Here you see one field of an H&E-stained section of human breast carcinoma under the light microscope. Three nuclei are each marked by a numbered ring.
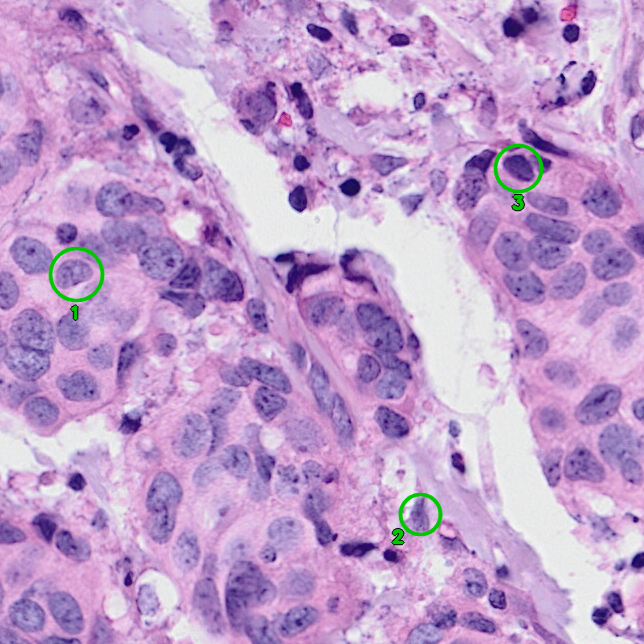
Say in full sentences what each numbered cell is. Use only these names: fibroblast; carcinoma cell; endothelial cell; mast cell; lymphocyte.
Cell 1 is a carcinoma cell, cell 2 is a fibroblast and cell 3 is a carcinoma cell.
